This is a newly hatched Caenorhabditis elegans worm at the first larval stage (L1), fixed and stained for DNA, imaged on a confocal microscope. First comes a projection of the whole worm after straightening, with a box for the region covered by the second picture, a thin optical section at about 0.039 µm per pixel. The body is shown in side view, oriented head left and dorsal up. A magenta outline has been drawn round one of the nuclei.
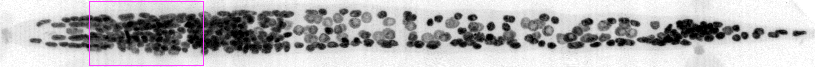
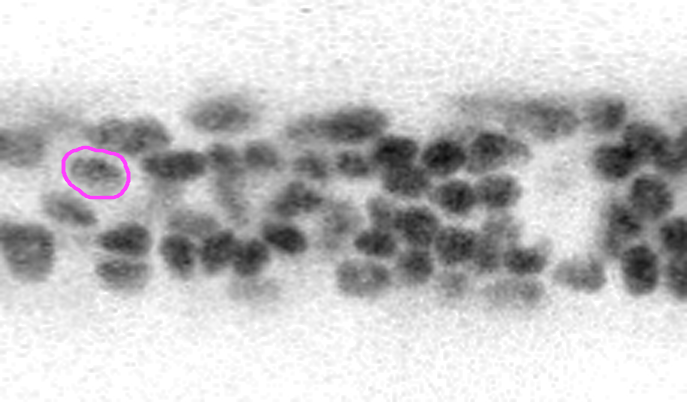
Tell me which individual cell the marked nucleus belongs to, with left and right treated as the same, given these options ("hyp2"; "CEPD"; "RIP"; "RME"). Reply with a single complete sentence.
The cell whose nucleus is marked is hyp2, a hypodermal cell (hyp).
